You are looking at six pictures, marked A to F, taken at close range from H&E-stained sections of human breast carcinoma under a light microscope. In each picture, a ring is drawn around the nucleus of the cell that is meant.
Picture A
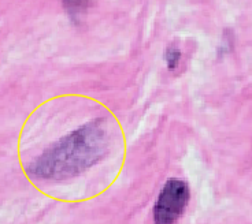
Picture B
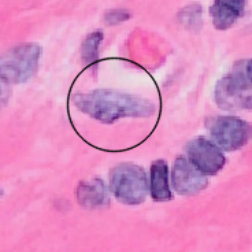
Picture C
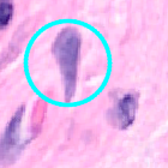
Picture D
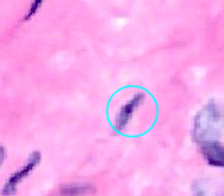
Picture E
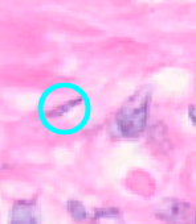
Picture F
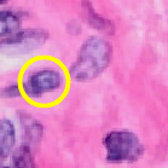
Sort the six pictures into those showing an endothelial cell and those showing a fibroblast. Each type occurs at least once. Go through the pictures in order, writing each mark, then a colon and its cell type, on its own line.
A: fibroblast
B: endothelial cell
C: endothelial cell
D: fibroblast
E: fibroblast
F: endothelial cell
